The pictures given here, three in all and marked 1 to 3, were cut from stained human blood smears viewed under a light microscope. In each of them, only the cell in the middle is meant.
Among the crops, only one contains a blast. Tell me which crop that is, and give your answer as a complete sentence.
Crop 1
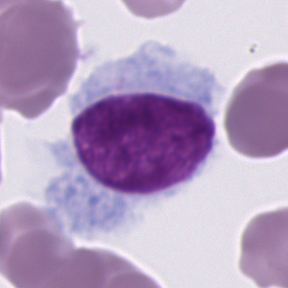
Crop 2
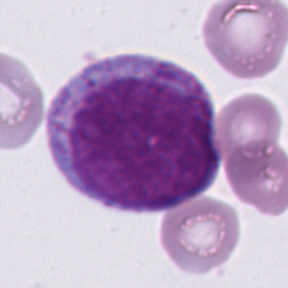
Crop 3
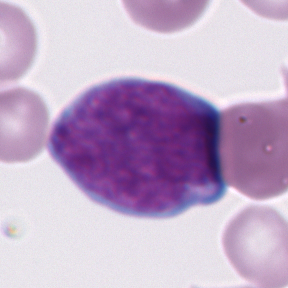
Crop 3, of the crops presented, is the one showing a blast.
